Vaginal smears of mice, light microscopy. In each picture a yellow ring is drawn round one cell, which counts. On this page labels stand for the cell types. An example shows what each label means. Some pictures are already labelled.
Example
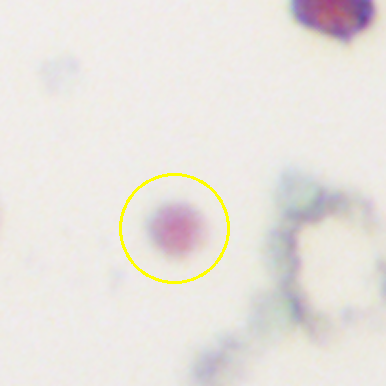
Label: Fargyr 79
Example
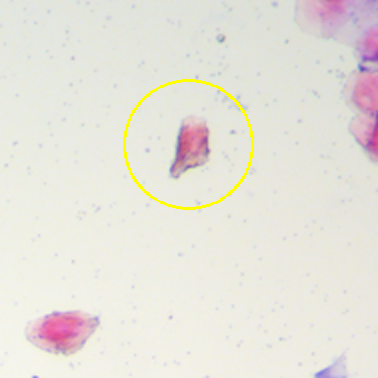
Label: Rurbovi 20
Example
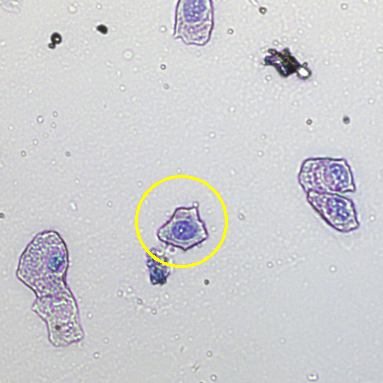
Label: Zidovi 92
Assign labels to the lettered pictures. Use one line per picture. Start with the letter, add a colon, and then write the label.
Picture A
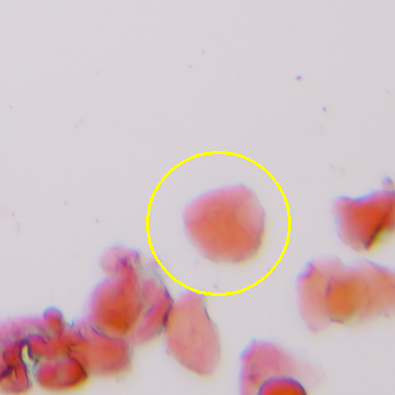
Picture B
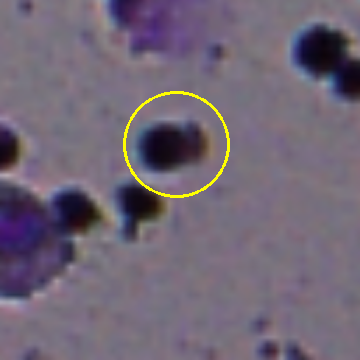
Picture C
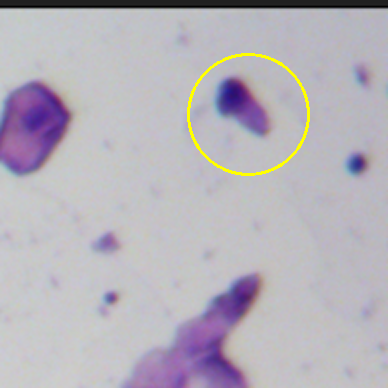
A: Rurbovi 20
B: Fargyr 79
C: Zidovi 92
